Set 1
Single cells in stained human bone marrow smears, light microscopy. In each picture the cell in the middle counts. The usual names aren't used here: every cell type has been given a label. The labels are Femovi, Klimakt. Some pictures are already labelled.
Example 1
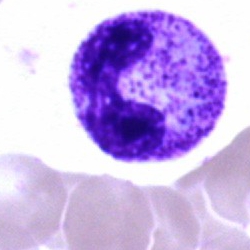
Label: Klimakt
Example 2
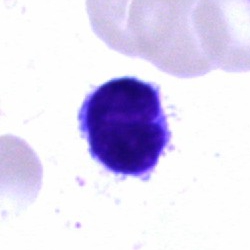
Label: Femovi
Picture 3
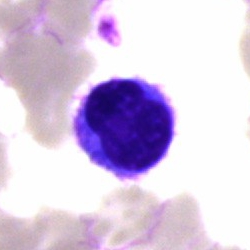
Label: Femovi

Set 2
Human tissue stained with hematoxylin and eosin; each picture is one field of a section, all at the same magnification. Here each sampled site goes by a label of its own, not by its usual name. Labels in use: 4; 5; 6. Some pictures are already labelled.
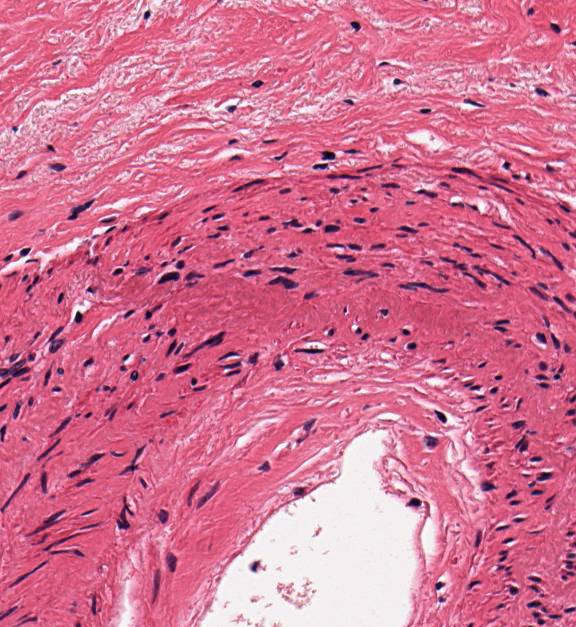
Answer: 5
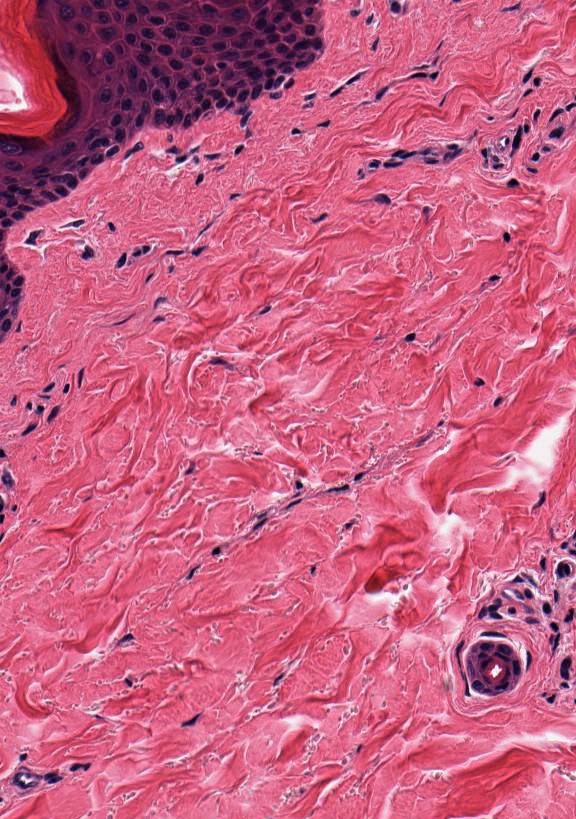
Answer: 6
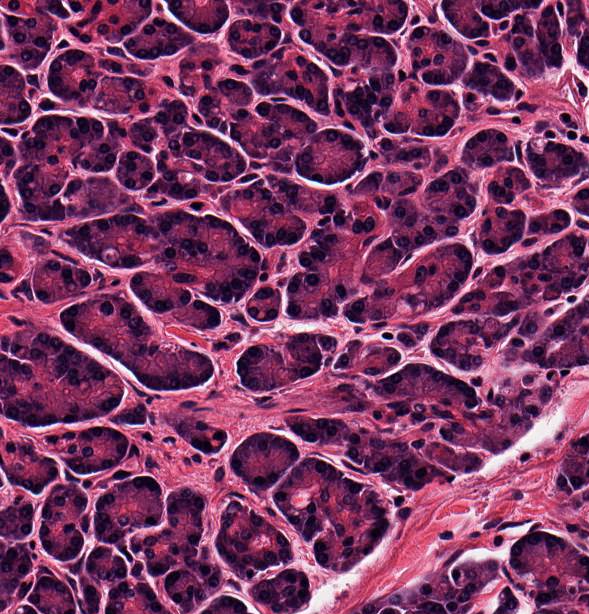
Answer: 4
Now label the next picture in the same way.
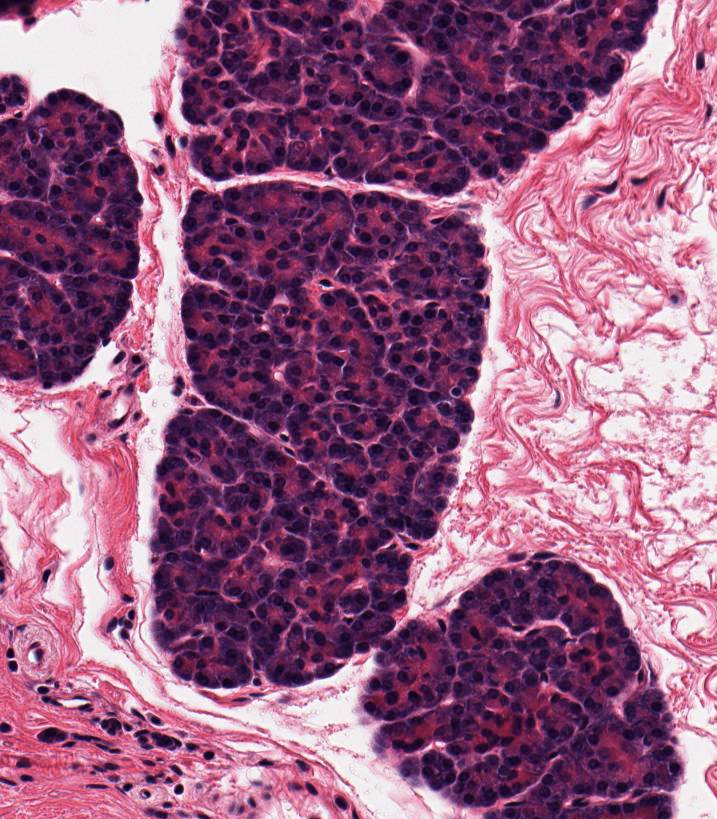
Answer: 4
